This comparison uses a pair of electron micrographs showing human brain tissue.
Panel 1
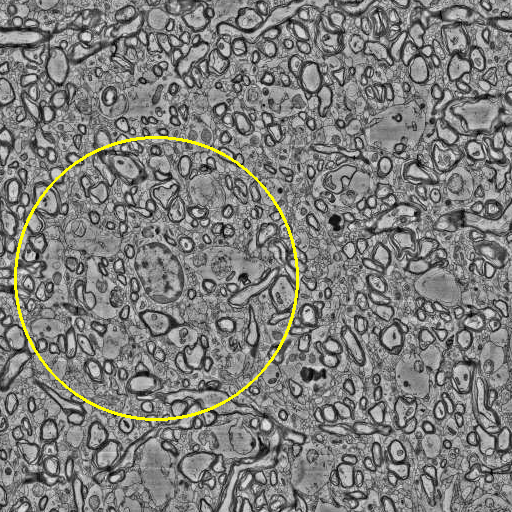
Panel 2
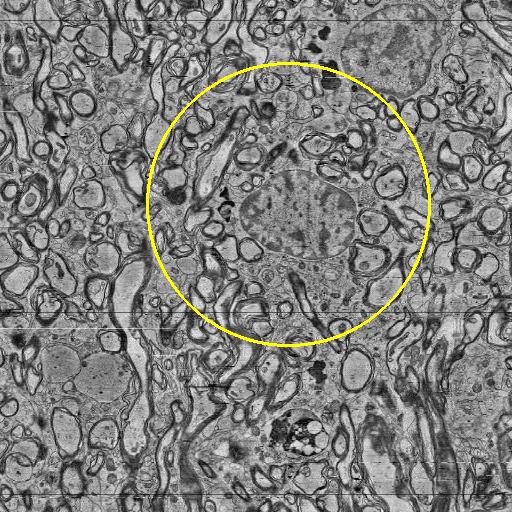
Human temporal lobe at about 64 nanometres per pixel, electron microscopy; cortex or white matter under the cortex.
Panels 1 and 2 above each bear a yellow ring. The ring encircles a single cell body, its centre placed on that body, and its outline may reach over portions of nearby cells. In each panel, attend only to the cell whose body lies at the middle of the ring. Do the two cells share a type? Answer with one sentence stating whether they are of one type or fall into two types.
In Panel 1 and Panel 2, the cells at the centres of the rings are of one type.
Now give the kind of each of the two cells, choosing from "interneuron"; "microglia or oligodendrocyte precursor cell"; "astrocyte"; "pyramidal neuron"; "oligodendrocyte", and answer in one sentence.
The second cell is a microglial cell or oligodendrocyte precursor cell, just as the first is.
